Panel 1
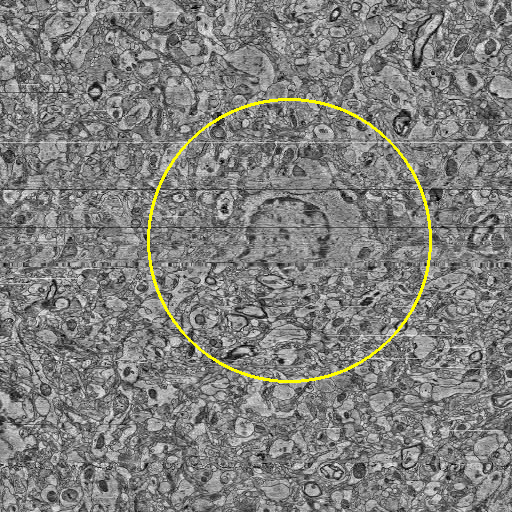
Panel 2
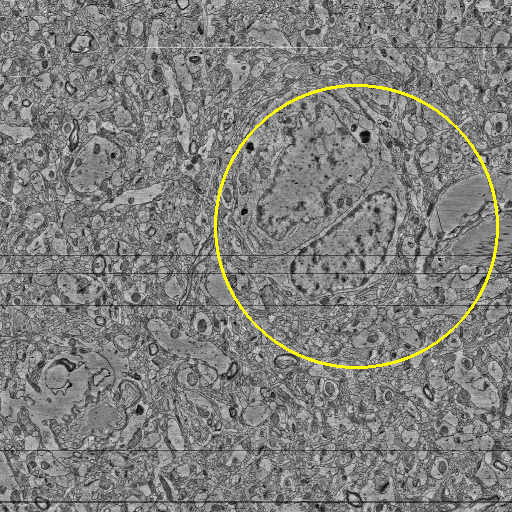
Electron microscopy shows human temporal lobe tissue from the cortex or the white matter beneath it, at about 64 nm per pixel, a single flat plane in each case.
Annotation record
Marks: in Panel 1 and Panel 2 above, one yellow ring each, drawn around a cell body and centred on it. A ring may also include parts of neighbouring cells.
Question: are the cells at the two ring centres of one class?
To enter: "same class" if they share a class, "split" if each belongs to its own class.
same class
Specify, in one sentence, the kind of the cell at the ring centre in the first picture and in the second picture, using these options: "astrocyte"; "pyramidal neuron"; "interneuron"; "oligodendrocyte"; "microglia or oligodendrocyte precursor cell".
Each cell, in the first picture and the second, is a microglial cell or oligodendrocyte precursor cell.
